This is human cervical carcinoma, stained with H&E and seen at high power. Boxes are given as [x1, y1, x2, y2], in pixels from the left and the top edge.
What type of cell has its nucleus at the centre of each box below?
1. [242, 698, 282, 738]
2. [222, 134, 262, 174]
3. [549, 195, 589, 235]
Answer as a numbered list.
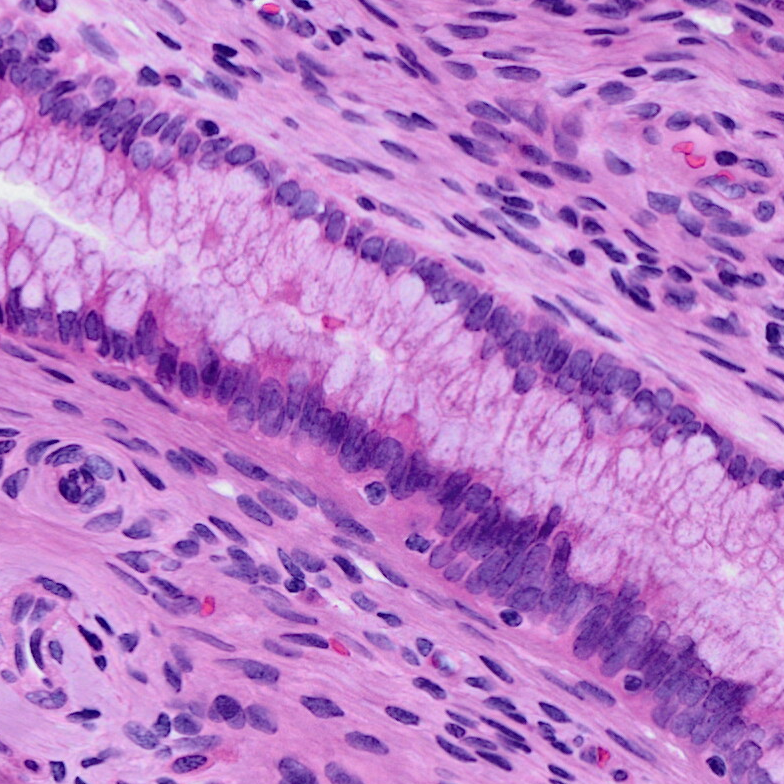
1. fibroblast
2. secretory epithelial cell
3. fibroblast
